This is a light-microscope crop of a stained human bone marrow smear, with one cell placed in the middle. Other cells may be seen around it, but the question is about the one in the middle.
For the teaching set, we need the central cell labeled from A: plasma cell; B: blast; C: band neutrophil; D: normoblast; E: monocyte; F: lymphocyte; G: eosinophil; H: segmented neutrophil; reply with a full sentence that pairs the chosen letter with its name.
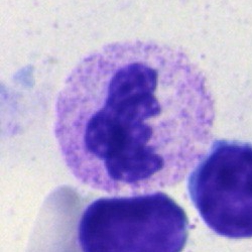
Option H is correct; the cell in the middle is a segmented neutrophil.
